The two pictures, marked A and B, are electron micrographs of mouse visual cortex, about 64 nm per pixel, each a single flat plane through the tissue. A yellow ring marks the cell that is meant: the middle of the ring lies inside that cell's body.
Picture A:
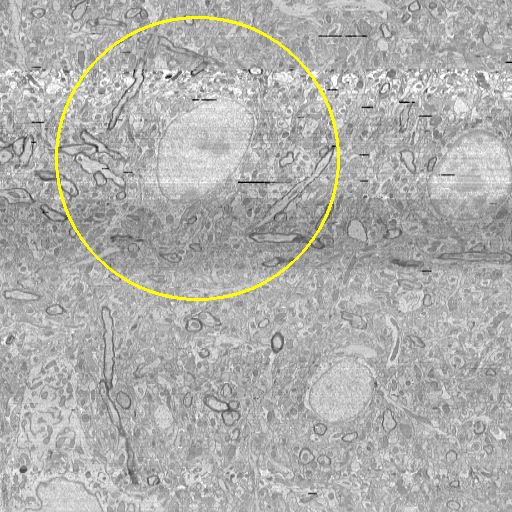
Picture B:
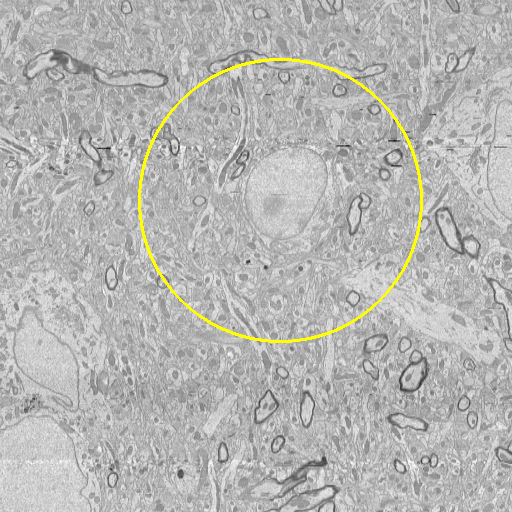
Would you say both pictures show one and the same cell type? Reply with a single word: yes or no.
yes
